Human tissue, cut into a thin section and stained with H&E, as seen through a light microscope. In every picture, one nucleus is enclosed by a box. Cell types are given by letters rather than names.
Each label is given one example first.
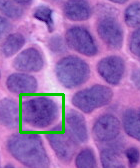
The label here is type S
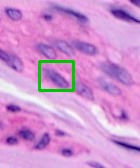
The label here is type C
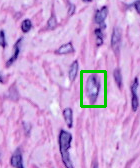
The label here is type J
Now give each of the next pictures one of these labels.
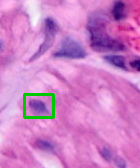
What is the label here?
type C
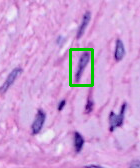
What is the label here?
type J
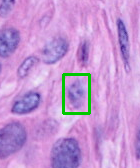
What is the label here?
type J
